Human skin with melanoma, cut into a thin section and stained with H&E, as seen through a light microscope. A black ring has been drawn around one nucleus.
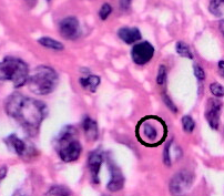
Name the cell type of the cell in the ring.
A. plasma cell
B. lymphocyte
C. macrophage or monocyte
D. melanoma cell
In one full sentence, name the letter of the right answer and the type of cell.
Option B holds, since the cell in the ring is a lymphocyte.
